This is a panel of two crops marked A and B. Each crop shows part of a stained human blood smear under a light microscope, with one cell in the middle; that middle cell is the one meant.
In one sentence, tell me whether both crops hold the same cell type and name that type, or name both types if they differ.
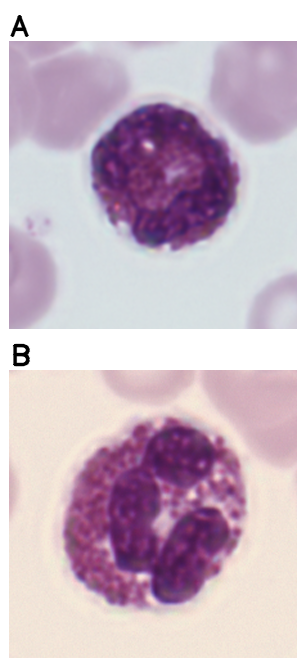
Yes, both crops, not just one, show eosinophils.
